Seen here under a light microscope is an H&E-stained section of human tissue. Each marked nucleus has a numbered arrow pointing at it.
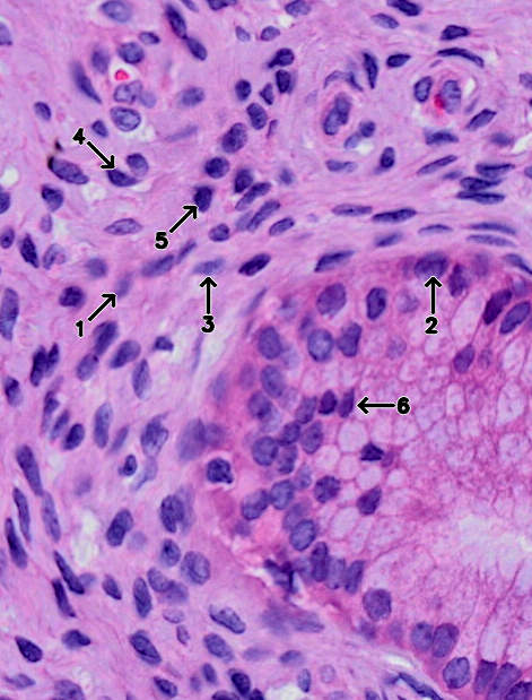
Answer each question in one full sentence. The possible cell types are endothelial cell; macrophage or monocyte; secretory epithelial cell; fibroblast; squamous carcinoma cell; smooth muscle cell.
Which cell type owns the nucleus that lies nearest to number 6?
Closest to number 6 lies the nucleus of a secretory epithelial cell.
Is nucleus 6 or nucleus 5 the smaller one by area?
Nucleus 6 is the smaller one; nucleus 5 covers about 1.5 times its area.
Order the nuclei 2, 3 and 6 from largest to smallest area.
Largest first, the order by area is 2, 3, 6.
